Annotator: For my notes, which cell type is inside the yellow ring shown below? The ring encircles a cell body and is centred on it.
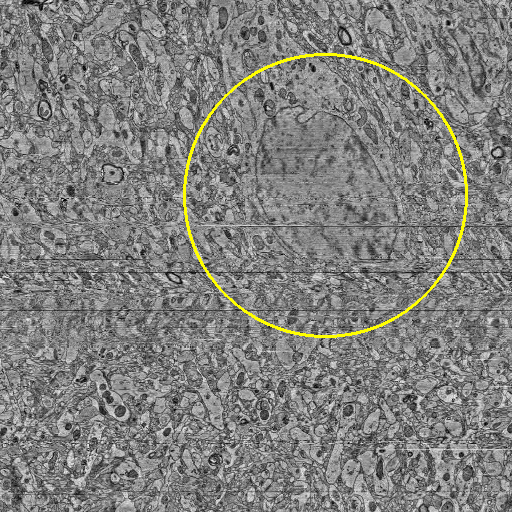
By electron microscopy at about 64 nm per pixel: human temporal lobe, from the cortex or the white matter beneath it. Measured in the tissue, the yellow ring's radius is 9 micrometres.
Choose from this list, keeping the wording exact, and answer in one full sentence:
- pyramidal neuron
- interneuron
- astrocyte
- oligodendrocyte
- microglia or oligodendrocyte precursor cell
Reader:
At the centre of the yellow ring there is an interneuron, as shown in the picture.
